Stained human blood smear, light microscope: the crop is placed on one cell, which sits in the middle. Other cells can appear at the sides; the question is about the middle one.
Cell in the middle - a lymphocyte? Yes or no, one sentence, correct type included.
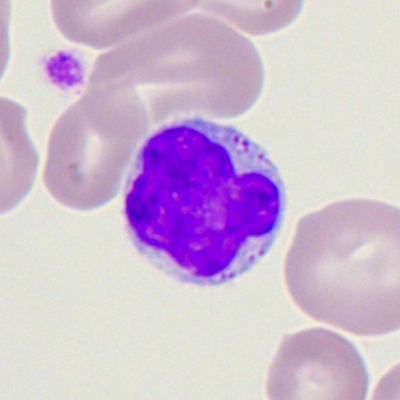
Yes, the identification of the central cell as a lymphocyte is correct.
